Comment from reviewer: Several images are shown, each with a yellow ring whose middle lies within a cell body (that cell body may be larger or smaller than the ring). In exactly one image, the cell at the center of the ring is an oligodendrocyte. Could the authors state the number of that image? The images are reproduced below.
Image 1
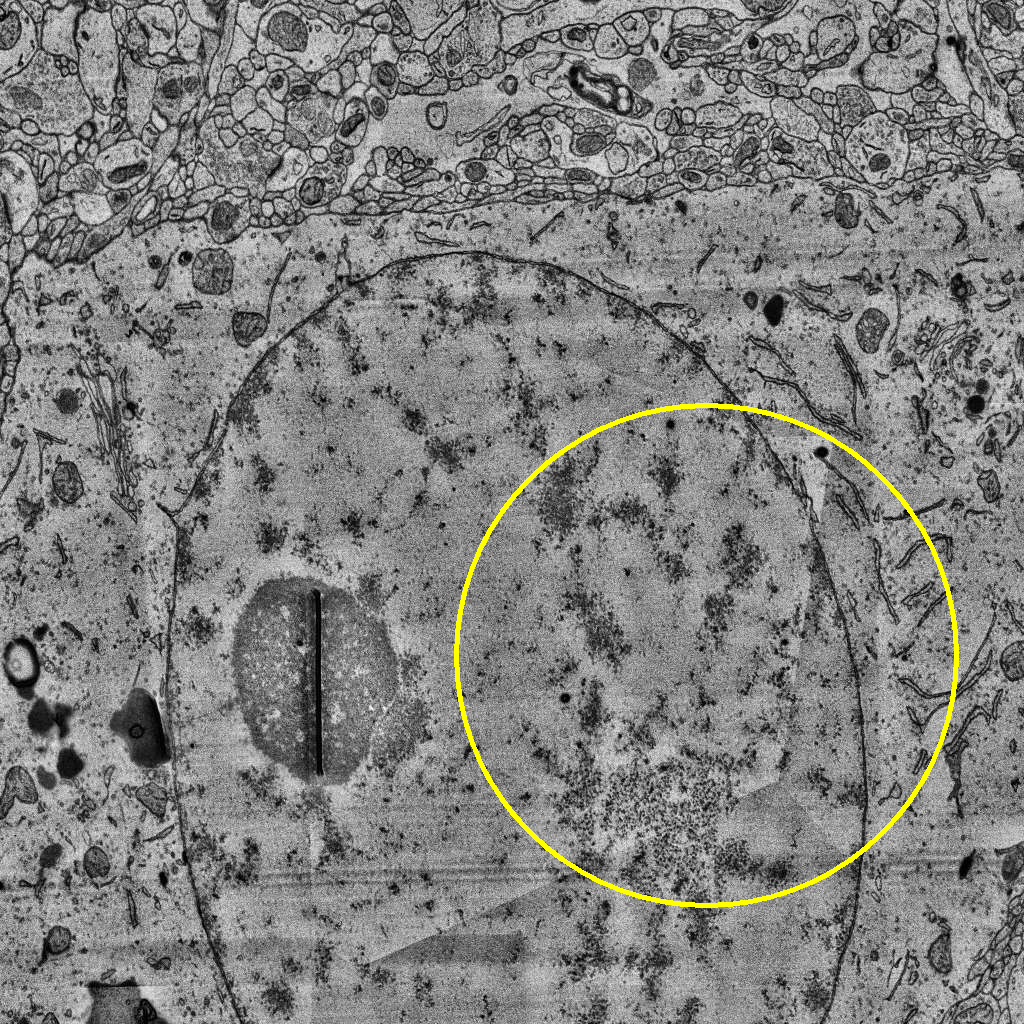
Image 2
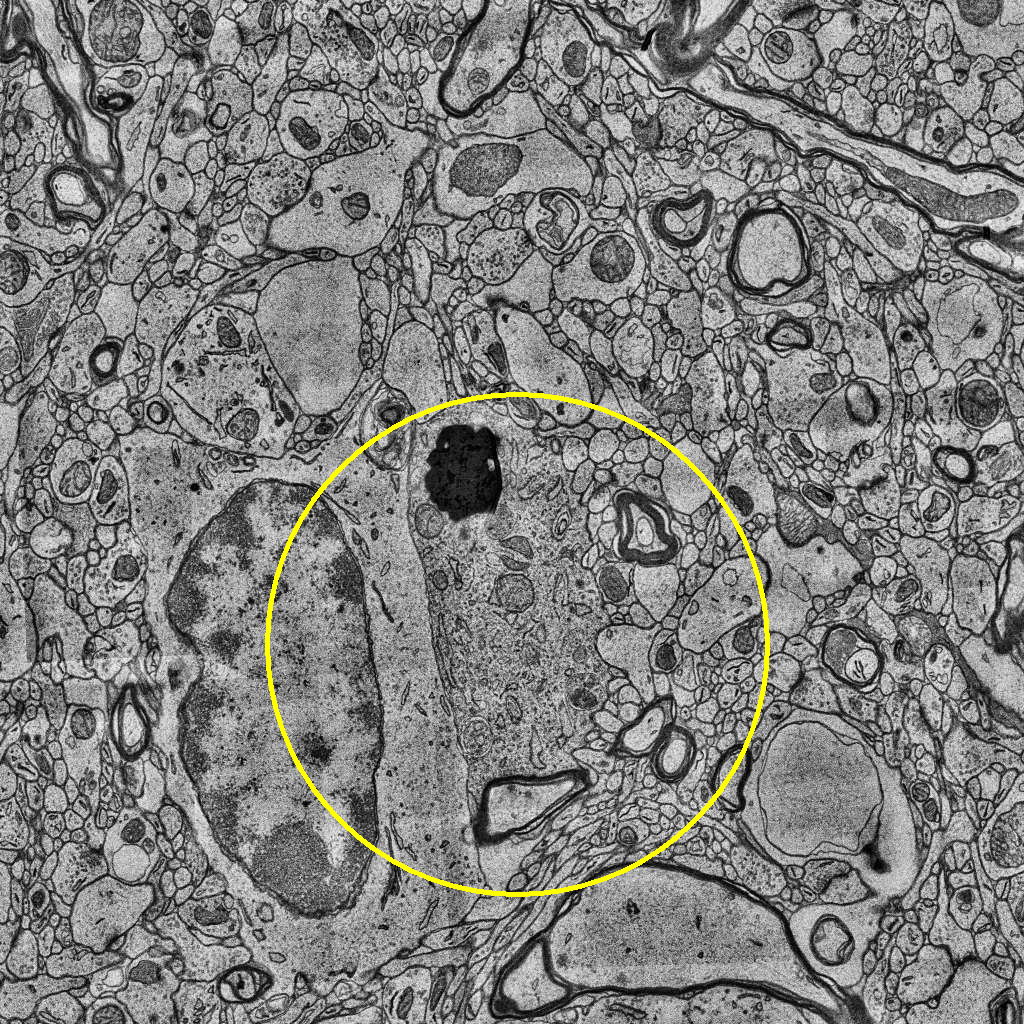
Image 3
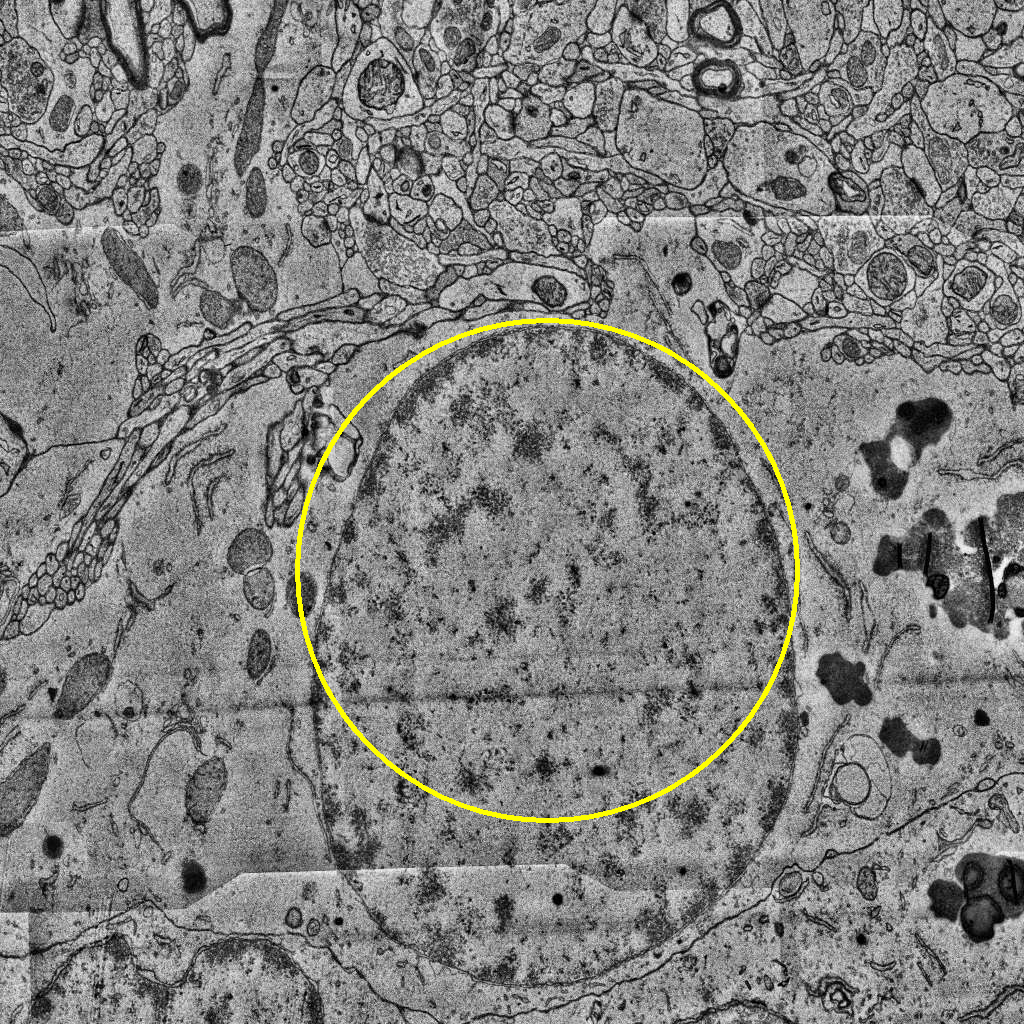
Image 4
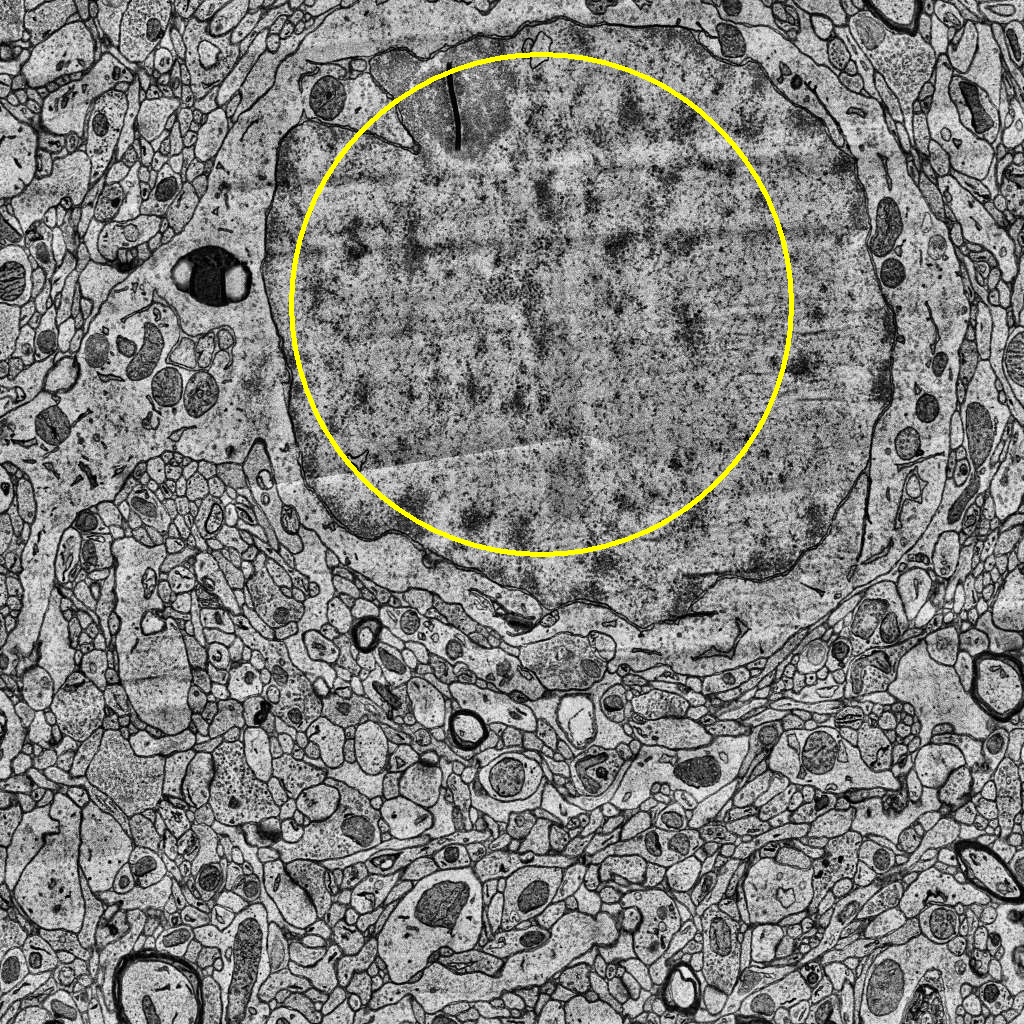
2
